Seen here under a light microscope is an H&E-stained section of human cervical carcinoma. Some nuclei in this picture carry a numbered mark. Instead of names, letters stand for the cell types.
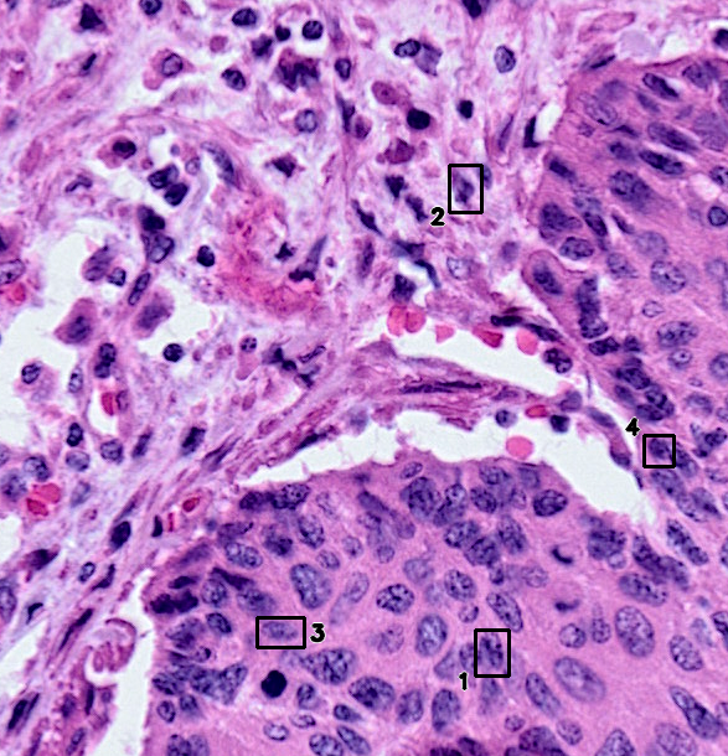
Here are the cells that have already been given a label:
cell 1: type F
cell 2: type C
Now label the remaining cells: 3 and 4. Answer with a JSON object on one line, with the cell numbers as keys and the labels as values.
{"3": "type F", "4": "type F"}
